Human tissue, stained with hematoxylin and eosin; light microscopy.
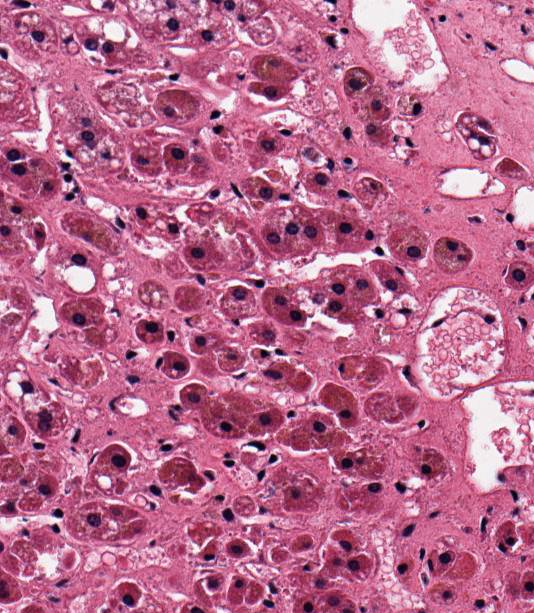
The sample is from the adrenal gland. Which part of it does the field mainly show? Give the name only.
zona reticularis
